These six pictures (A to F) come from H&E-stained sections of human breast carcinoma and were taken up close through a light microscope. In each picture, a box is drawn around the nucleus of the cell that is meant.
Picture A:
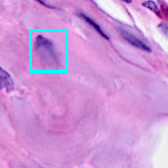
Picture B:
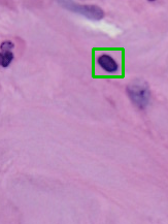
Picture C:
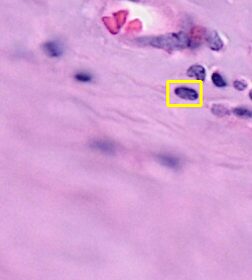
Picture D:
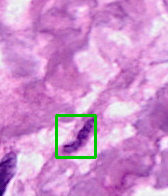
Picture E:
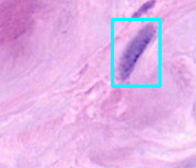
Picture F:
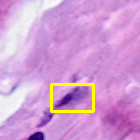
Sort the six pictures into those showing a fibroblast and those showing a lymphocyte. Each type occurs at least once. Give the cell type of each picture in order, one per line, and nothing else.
fibroblast
lymphocyte
lymphocyte
fibroblast
fibroblast
fibroblast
